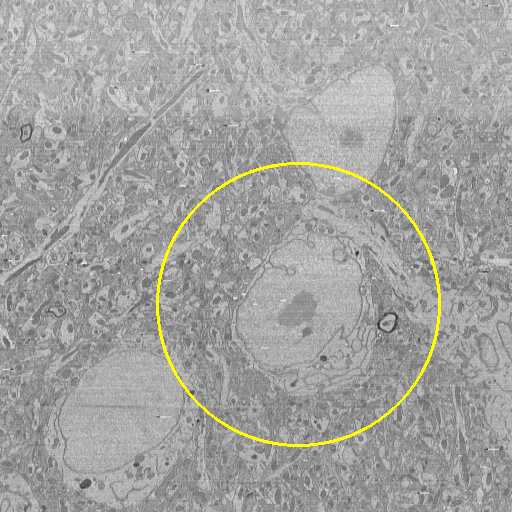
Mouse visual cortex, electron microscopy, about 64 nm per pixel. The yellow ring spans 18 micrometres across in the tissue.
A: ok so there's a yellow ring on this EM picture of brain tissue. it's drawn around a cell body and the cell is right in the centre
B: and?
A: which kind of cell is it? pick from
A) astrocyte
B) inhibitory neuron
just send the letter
B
